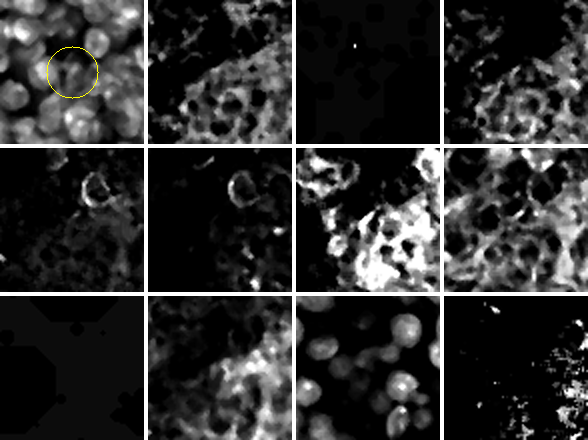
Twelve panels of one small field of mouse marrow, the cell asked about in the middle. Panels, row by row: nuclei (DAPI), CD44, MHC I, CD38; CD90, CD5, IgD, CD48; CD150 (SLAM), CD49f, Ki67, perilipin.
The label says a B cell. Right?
Right.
